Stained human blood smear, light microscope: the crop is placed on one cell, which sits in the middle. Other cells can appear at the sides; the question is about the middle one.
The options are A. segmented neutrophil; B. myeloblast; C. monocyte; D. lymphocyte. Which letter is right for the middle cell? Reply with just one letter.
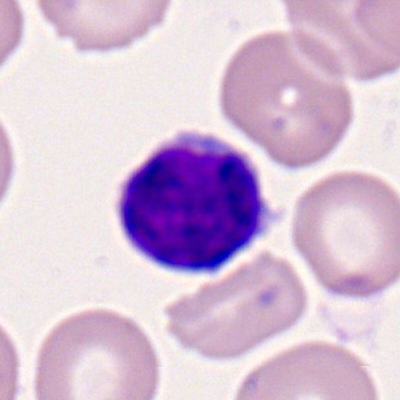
D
